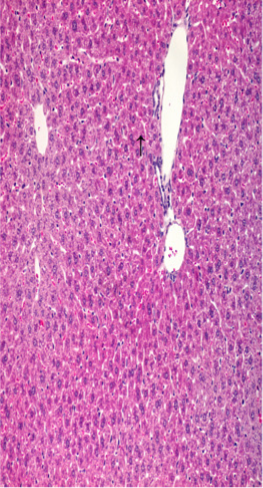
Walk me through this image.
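This is liver tissue, with pink polygonal hepatocytes arranged in plates between narrow sinusoids. Several empty, clear vessel lumens cross the field, one long and slit-like, with the surrounding tissue orderly up to their walls.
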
